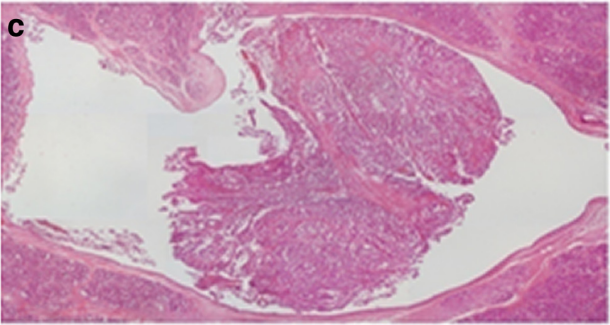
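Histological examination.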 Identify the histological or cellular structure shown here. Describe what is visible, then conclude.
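A large wide lumen is lined by a thin wall. A rounded tissue mass projects into the lumen from one side. That points to this answer: polypoid tumor.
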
